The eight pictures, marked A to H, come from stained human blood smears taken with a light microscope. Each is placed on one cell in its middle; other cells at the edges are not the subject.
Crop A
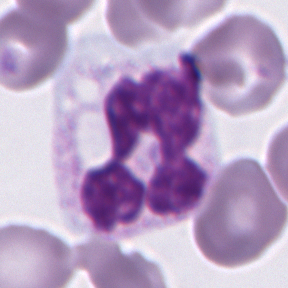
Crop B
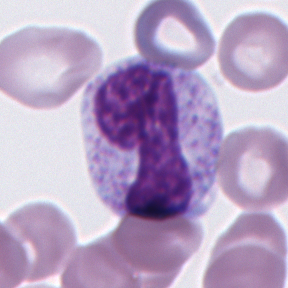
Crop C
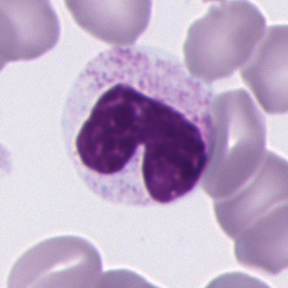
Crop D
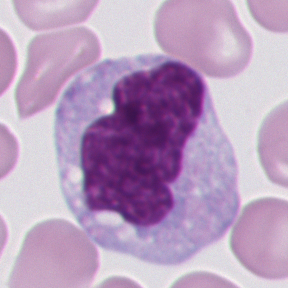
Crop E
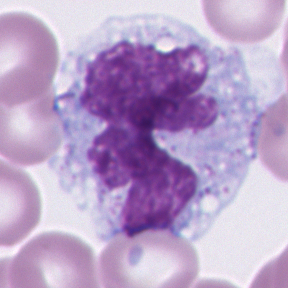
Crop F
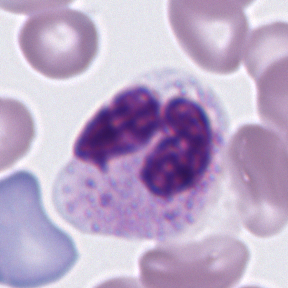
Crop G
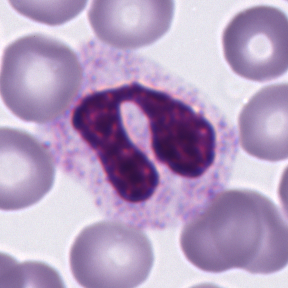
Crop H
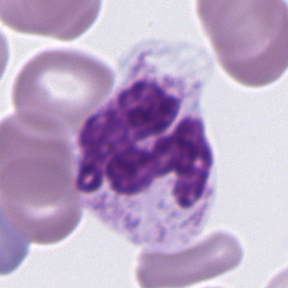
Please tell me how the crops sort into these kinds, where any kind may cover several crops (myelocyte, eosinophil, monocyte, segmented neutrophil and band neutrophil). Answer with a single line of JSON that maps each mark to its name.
{"A": "segmented neutrophil", "B": "band neutrophil", "C": "band neutrophil", "D": "monocyte", "E": "monocyte", "F": "segmented neutrophil", "G": "segmented neutrophil", "H": "segmented neutrophil"}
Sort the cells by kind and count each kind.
segmented neutrophil: 4
band neutrophil: 2
monocyte: 2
